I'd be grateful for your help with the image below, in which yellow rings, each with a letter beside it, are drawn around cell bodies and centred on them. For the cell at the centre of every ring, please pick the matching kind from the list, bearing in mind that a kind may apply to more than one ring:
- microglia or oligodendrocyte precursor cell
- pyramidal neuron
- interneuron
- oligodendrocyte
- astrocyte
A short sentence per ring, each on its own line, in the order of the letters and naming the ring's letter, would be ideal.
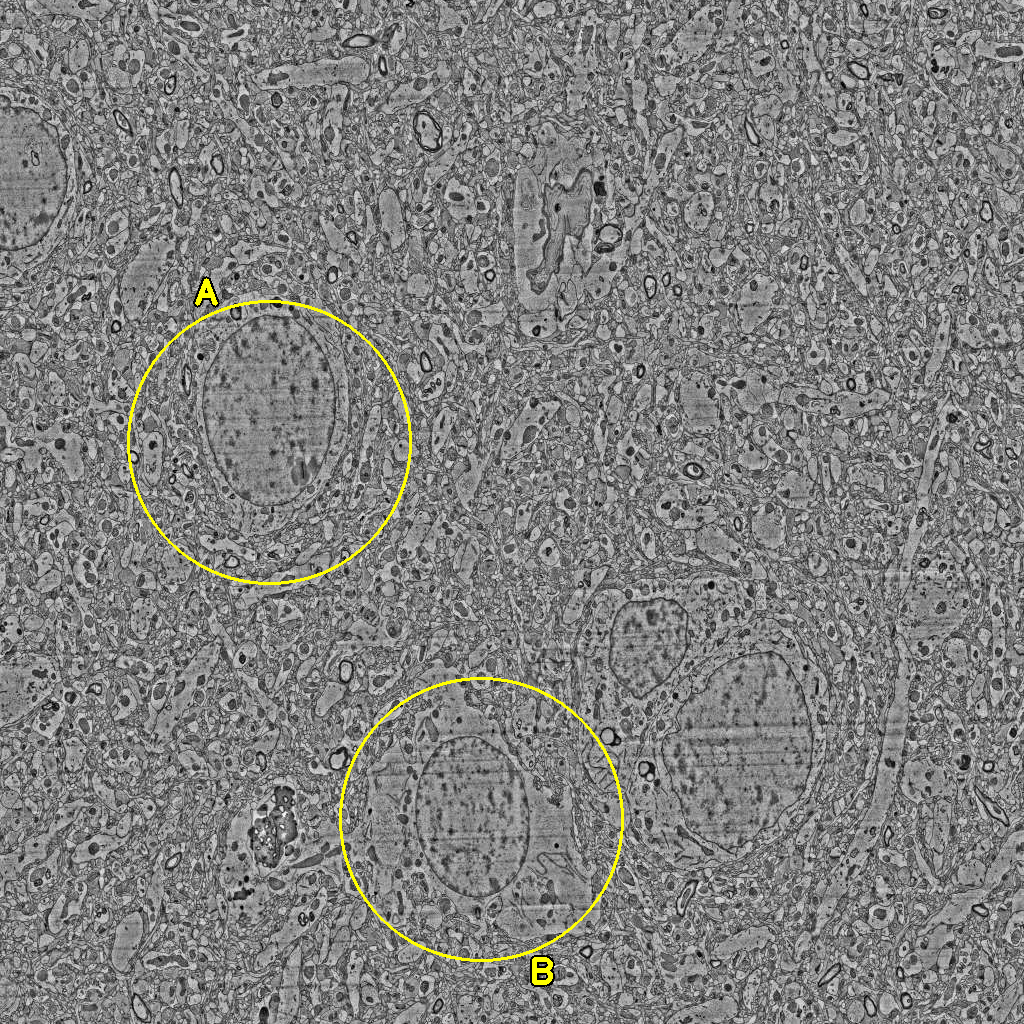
Inside ring A, the central cell is a pyramidal neuron.
Inside ring B, the central cell is an astrocyte.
